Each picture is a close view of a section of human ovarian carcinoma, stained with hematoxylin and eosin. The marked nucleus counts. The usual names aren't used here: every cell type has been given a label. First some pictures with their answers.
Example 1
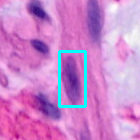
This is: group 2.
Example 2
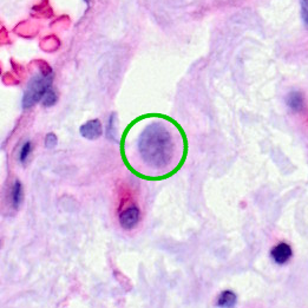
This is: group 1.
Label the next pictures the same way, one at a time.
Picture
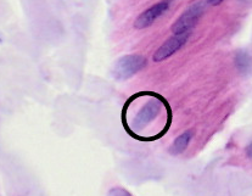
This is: group 2.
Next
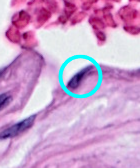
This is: group 1.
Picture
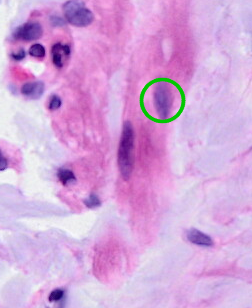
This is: group 2.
